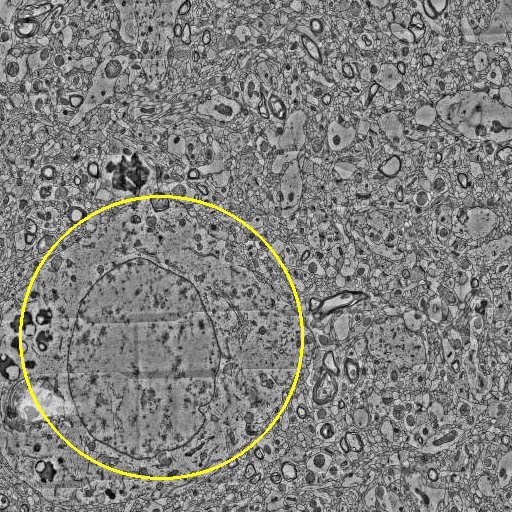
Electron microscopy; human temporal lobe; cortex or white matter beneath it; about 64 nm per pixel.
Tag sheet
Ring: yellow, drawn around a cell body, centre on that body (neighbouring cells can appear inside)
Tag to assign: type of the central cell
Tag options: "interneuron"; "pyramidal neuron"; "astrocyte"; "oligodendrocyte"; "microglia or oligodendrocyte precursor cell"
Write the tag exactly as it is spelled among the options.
pyramidal neuron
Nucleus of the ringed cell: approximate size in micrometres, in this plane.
About 13 by 10 micrometres in this plane.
